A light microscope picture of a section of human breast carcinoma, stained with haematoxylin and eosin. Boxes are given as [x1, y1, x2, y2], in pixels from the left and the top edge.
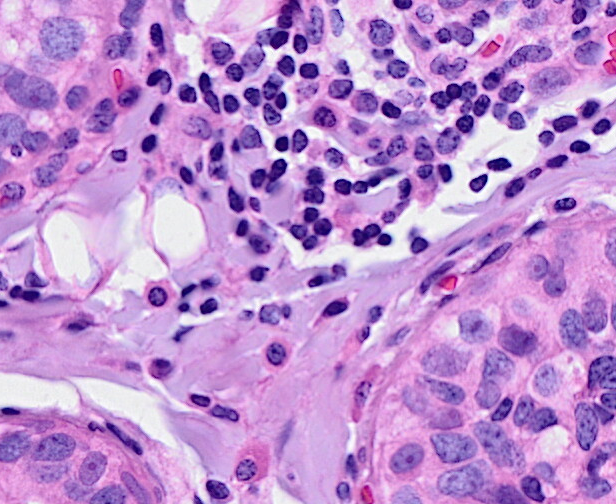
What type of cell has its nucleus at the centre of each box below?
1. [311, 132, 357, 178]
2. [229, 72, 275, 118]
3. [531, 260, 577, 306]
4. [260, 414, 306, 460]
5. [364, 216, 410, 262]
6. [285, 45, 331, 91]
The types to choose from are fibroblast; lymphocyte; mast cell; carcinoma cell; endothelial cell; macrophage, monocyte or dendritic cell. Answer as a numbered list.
1. lymphocyte
2. lymphocyte
3. carcinoma cell
4. fibroblast
5. lymphocyte
6. lymphocyte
